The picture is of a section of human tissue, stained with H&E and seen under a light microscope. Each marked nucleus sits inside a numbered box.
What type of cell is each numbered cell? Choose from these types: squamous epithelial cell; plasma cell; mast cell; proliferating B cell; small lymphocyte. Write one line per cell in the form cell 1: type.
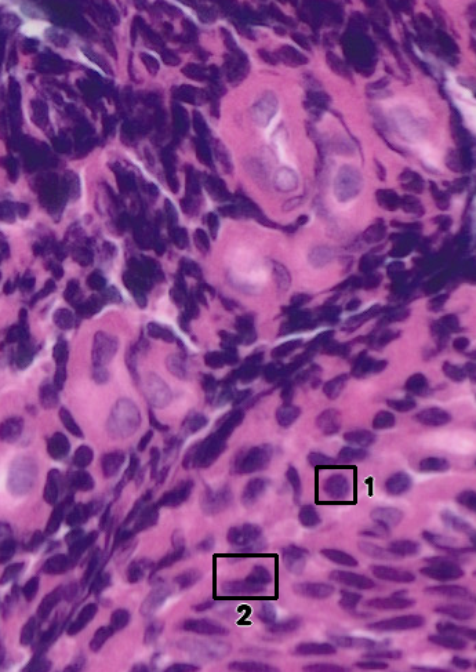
cell 1: plasma cell
cell 2: squamous epithelial cell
